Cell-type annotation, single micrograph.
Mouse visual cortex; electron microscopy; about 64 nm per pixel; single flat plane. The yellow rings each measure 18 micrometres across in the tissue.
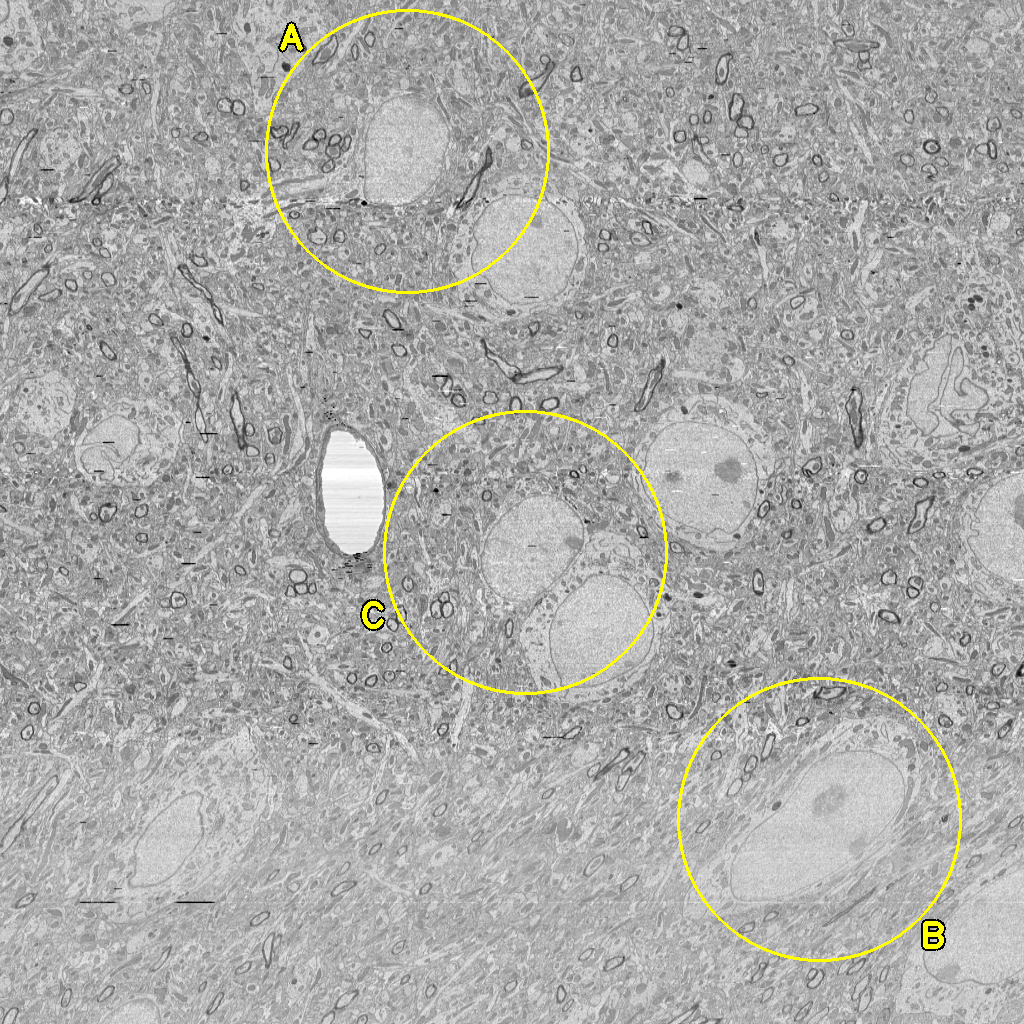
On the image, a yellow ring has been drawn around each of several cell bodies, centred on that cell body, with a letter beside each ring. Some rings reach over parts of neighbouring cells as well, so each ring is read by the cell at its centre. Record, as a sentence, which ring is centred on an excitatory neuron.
Ring B is centred on it.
